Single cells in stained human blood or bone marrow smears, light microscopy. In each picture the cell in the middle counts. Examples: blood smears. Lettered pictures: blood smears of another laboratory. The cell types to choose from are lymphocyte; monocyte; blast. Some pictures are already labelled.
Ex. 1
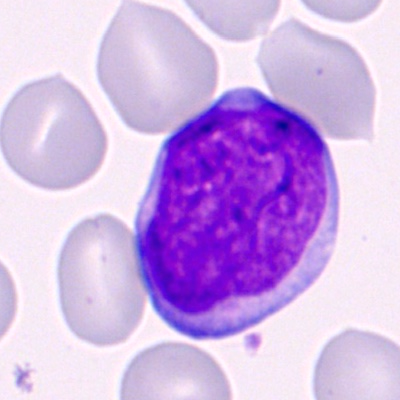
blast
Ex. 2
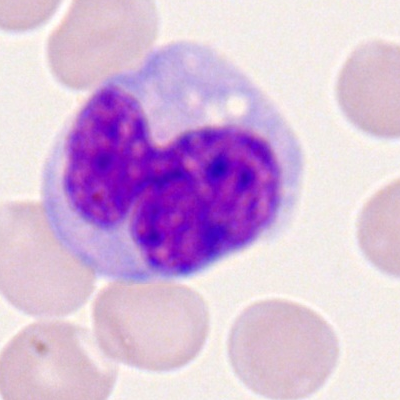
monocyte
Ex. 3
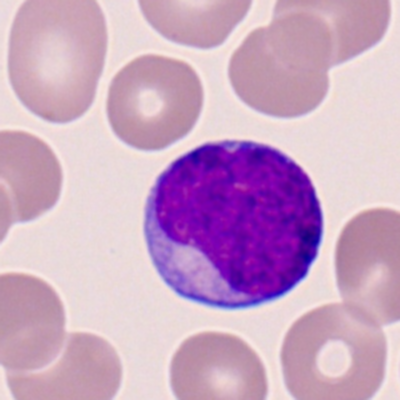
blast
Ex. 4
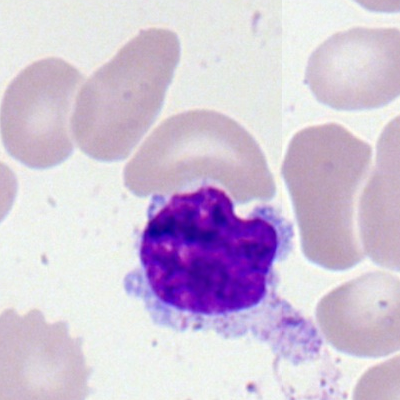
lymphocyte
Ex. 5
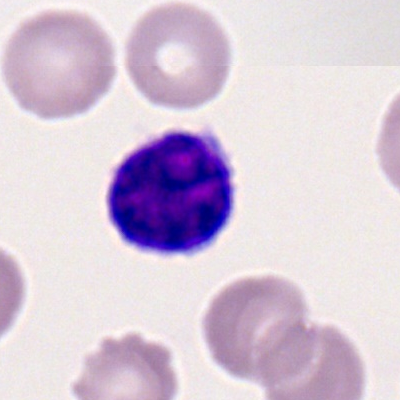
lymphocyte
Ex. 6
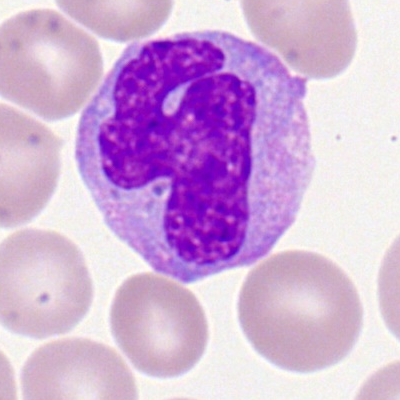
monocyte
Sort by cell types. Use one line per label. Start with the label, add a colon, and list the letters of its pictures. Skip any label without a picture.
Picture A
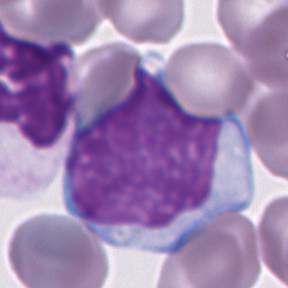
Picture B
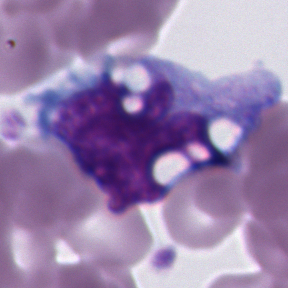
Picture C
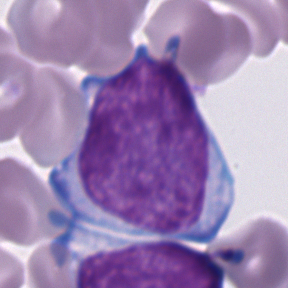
monocyte: B
blast: A, C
